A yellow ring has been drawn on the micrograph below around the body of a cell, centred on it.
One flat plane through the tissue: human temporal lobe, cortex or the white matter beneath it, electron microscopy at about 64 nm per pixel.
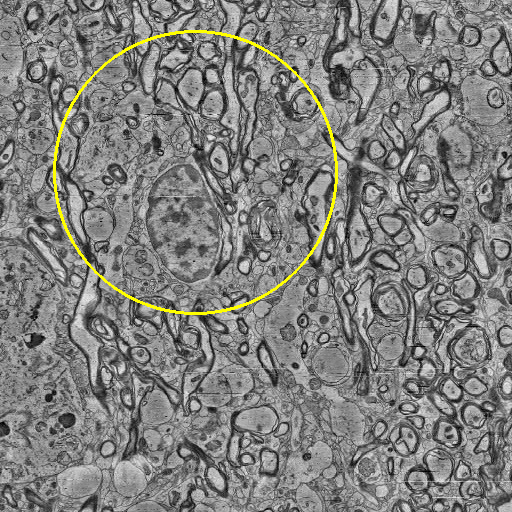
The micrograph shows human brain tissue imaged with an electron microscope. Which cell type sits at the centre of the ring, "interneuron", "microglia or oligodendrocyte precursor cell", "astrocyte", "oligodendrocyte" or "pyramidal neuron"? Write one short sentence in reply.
The cell sitting at the centre of the ring is a microglial cell or oligodendrocyte precursor cell.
